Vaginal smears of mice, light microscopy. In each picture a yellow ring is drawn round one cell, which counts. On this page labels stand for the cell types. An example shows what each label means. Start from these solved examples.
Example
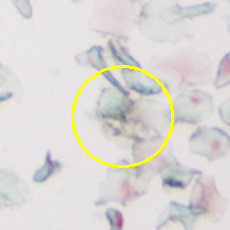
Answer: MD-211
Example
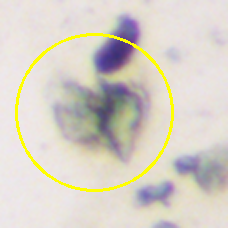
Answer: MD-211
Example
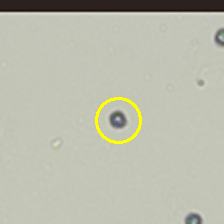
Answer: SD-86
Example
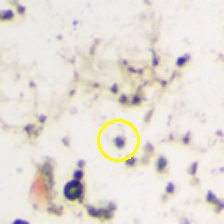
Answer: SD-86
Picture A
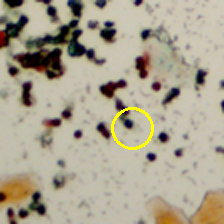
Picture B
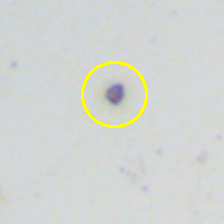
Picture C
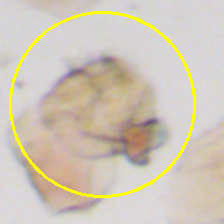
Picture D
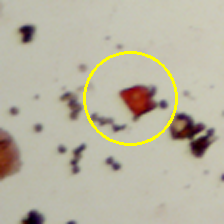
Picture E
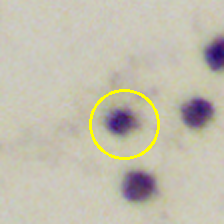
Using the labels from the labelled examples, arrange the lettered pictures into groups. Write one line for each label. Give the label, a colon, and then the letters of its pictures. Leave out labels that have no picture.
MD-211: C, D
SD-86: A, B, E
